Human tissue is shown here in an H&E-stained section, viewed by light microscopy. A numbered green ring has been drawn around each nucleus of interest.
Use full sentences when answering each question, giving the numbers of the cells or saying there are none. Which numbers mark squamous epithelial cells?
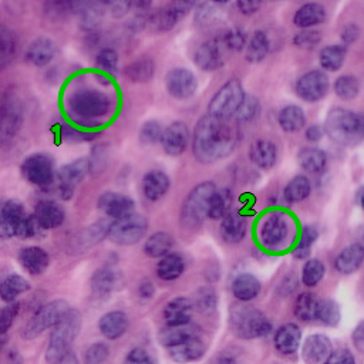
The cell labelled 1 is a squamous epithelial cell, while the remaining numbered cells are not.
